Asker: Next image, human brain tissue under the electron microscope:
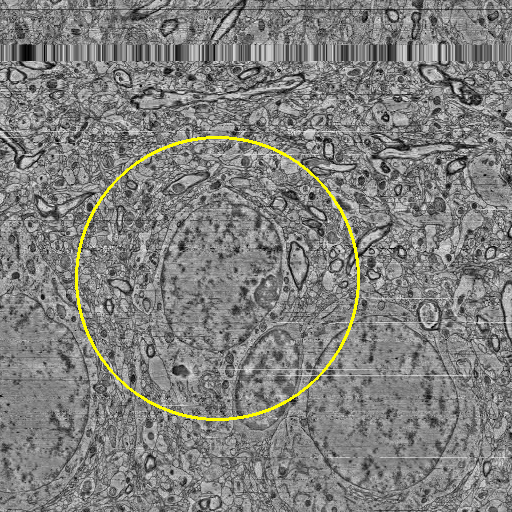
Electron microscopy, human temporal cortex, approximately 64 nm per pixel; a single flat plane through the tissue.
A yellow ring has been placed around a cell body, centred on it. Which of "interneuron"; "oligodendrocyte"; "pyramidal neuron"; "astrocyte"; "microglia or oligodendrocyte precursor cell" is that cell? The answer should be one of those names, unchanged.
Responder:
interneuron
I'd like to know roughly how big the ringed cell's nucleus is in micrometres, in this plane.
In this plane, about 10 micrometres in length and 8 in width.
